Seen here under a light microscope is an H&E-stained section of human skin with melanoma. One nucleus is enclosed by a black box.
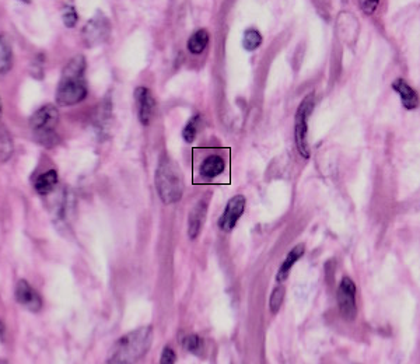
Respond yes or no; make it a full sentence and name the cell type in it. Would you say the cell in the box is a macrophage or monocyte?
No, mate, the cell in the box is a plasma cell rather than a macrophage or monocyte.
